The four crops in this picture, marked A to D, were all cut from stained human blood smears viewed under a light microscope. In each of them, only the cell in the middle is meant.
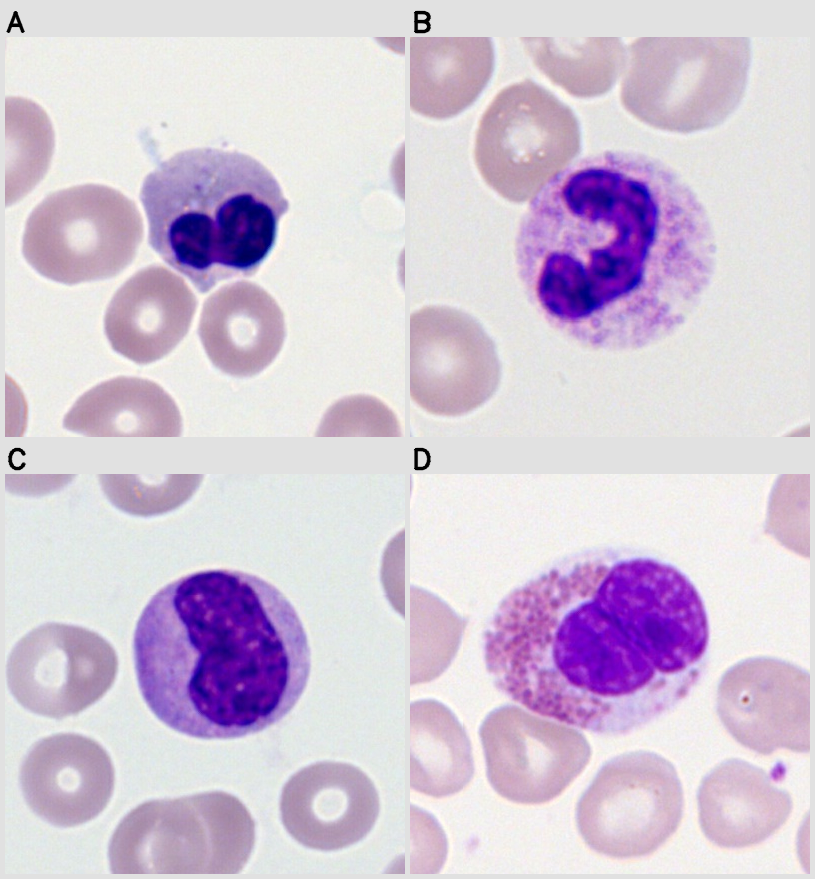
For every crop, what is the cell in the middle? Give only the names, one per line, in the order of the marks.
erythroblast
band neutrophil
band neutrophil
eosinophil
